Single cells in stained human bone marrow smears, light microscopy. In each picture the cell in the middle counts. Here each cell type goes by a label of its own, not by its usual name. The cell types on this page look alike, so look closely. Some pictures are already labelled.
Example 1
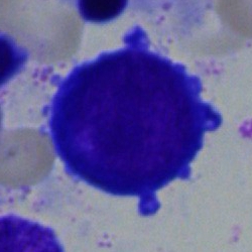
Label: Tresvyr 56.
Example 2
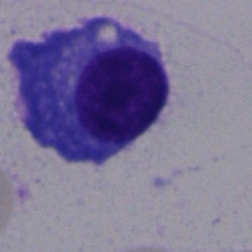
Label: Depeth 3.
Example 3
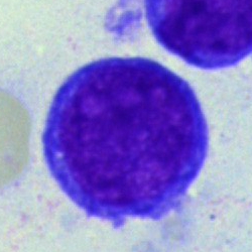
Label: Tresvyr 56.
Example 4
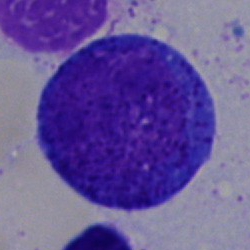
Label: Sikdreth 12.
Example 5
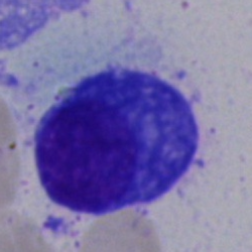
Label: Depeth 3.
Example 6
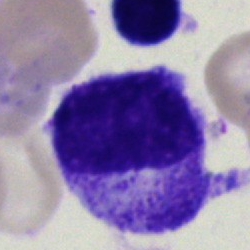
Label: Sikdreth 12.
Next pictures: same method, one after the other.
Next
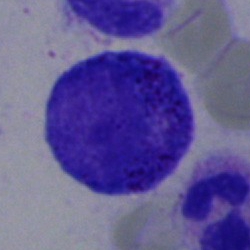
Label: Sikdreth 12.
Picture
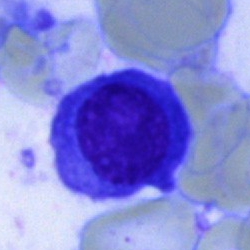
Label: Depeth 3.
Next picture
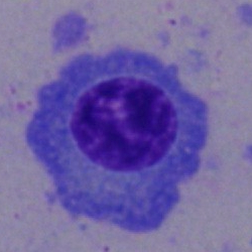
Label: Depeth 3.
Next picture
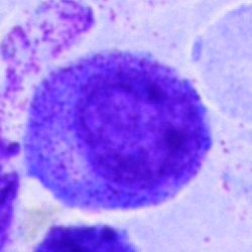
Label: Sikdreth 12.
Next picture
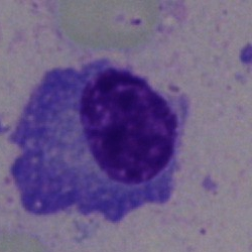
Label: Depeth 3.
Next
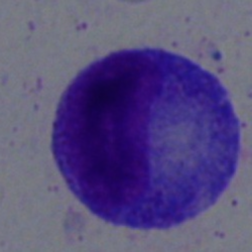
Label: Sikdreth 12.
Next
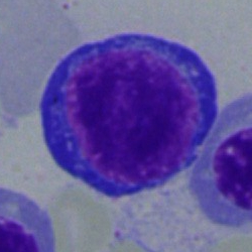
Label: Tresvyr 56.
